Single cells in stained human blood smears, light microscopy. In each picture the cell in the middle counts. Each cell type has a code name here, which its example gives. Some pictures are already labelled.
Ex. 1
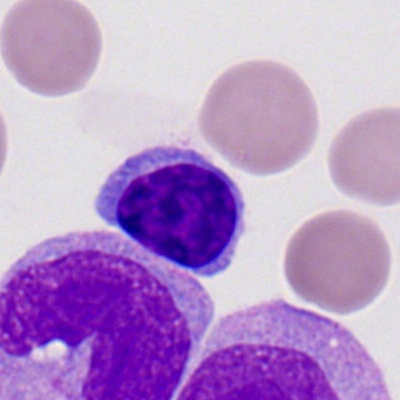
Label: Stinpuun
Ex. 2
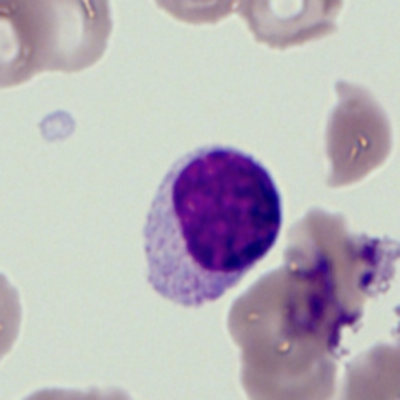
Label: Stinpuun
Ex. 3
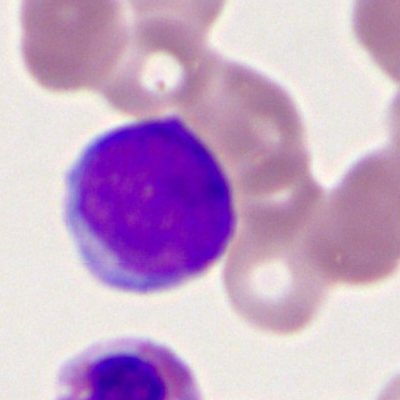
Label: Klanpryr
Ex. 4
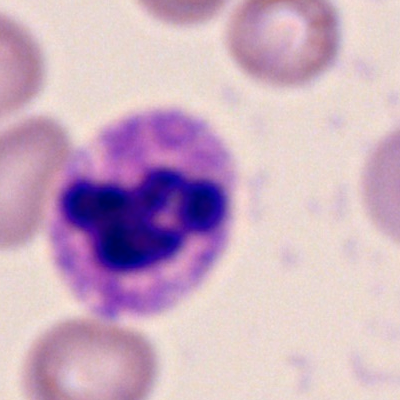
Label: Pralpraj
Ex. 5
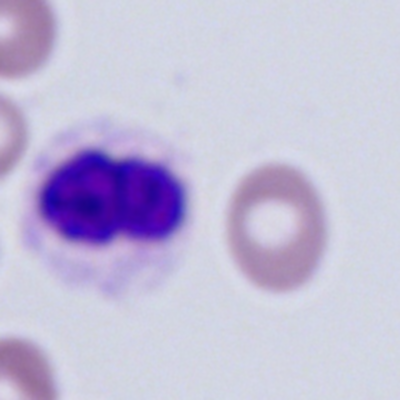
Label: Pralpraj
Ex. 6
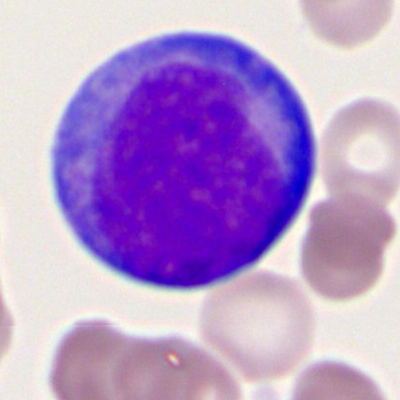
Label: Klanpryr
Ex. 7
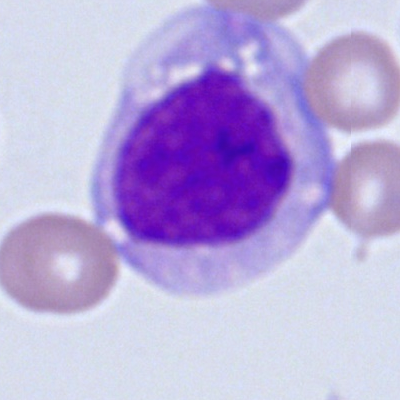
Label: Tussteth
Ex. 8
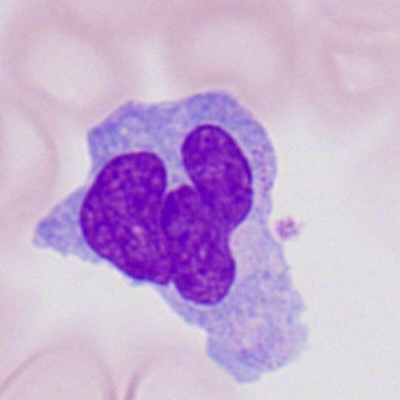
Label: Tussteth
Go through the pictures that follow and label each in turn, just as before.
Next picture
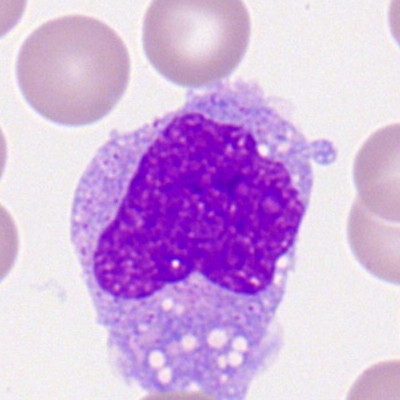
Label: Tussteth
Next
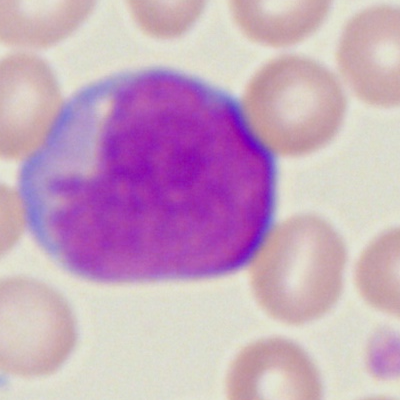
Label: Klanpryr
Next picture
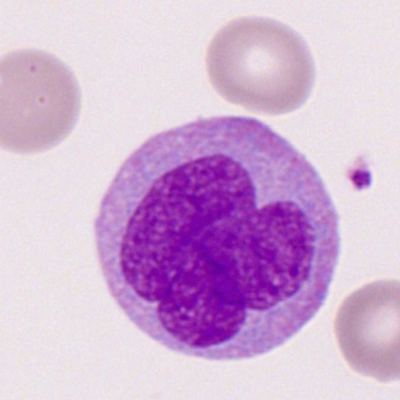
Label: Klanpryr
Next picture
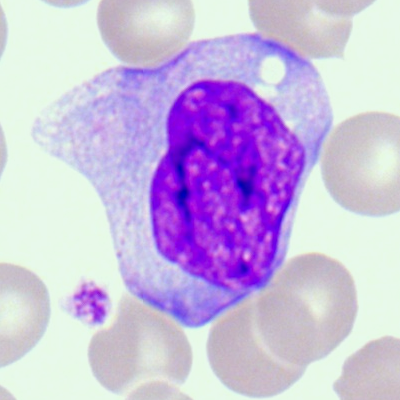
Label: Tussteth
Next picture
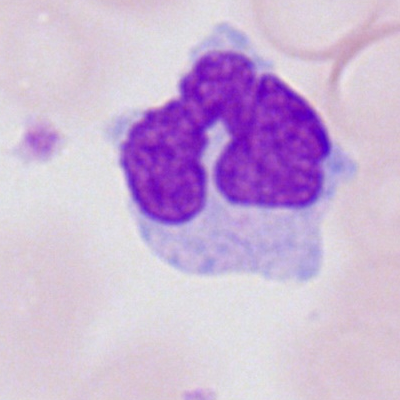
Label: Tussteth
